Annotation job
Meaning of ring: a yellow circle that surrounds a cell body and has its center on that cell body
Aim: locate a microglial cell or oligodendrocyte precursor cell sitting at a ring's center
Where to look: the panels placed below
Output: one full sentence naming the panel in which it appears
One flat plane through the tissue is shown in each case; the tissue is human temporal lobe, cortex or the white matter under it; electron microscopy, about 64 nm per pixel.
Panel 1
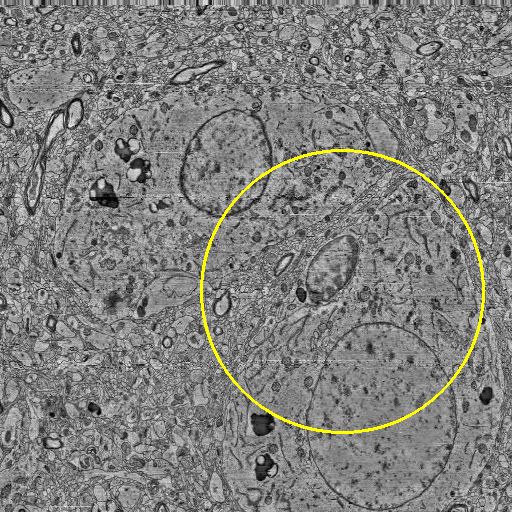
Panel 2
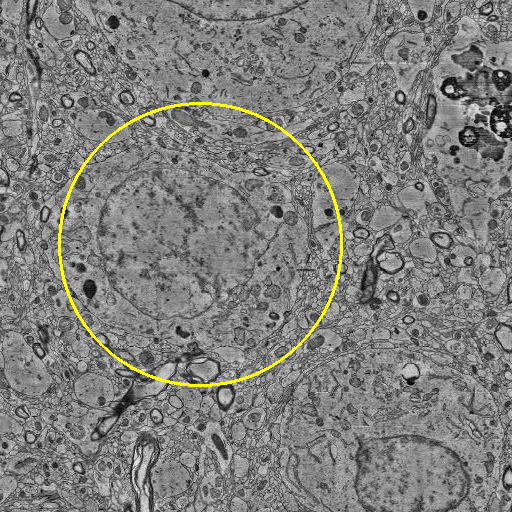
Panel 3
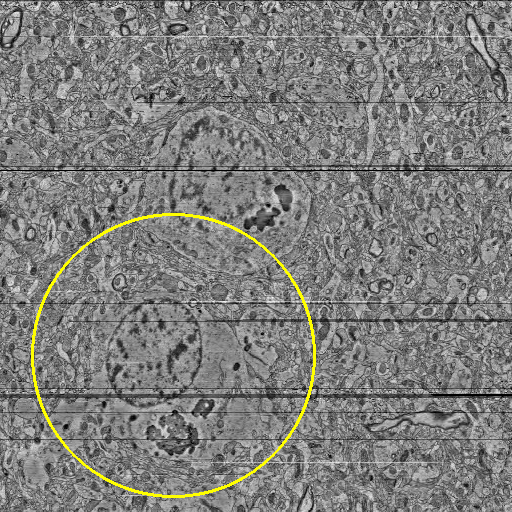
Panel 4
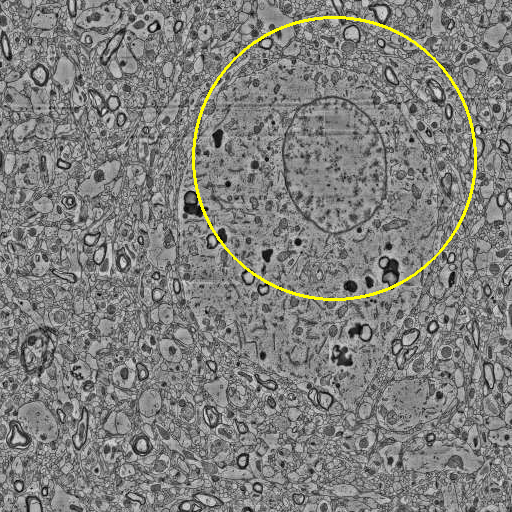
The cell at the center of the ring in panel 1 is the one sought.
